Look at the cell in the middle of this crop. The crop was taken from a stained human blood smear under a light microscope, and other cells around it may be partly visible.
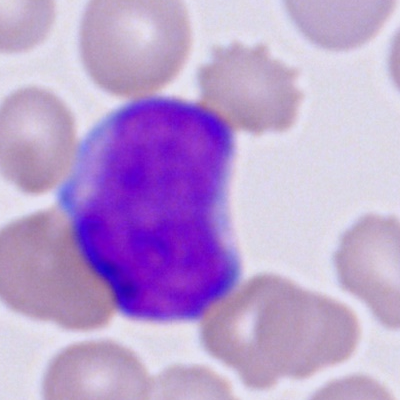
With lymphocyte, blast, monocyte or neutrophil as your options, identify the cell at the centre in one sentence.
The centrally placed cell is classified as a blast.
